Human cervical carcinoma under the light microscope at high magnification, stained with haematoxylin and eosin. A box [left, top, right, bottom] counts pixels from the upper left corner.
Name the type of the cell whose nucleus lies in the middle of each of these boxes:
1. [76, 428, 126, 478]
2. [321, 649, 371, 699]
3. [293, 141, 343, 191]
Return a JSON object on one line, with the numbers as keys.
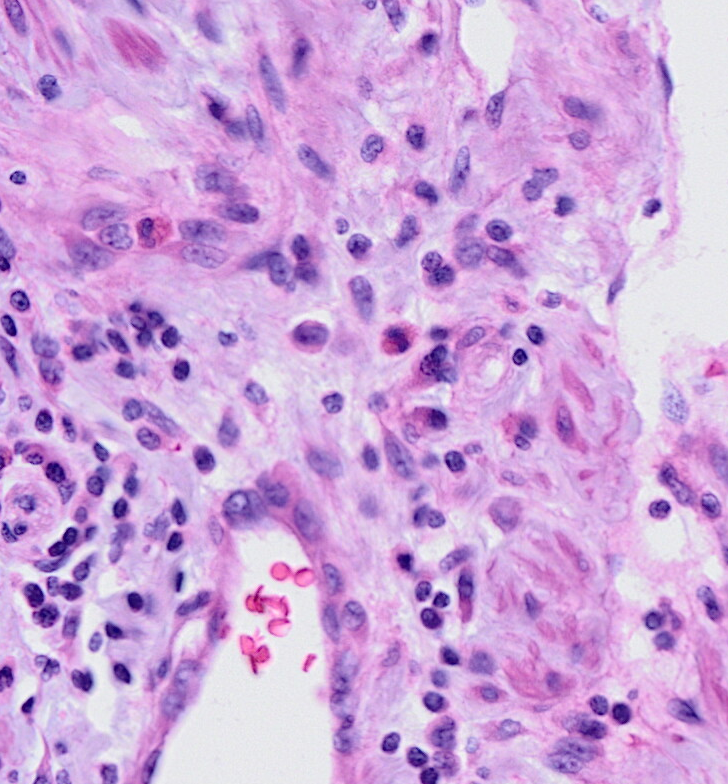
{"1": "lymphocyte", "2": "endothelial cell", "3": "fibroblast"}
